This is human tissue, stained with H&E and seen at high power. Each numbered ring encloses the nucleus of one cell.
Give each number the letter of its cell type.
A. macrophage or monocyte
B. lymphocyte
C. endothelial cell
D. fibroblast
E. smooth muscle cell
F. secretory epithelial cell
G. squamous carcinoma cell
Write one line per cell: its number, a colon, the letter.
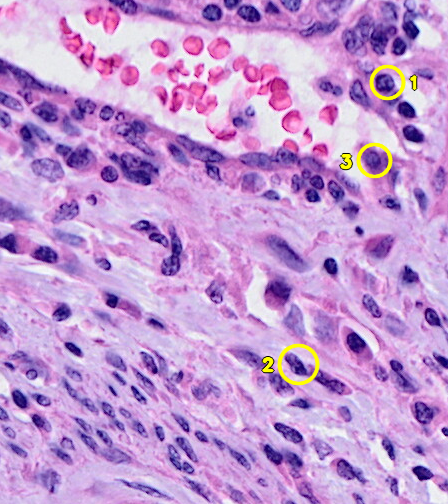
1: B
2: B
3: C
